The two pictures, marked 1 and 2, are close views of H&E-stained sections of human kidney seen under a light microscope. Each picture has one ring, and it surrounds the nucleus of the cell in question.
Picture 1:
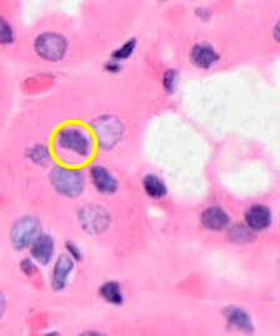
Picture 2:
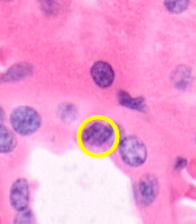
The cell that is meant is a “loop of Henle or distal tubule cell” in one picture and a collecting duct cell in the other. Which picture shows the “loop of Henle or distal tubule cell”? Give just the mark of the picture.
1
